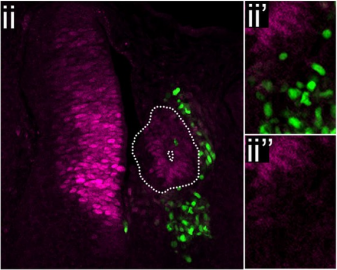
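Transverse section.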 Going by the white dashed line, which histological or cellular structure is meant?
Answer: Rosettes.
